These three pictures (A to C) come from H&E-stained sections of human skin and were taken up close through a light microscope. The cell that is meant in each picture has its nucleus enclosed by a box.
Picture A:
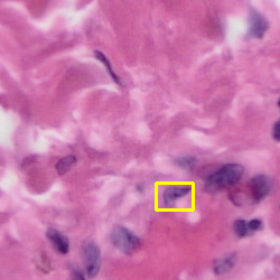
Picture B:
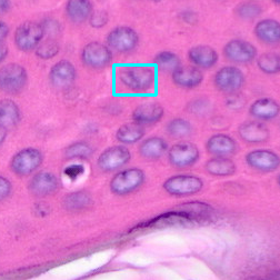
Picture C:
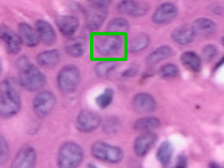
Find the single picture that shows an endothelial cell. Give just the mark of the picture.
A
